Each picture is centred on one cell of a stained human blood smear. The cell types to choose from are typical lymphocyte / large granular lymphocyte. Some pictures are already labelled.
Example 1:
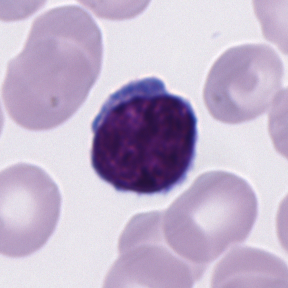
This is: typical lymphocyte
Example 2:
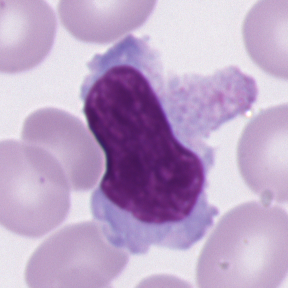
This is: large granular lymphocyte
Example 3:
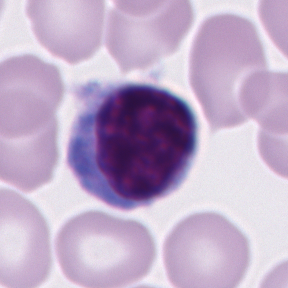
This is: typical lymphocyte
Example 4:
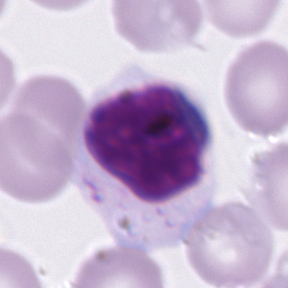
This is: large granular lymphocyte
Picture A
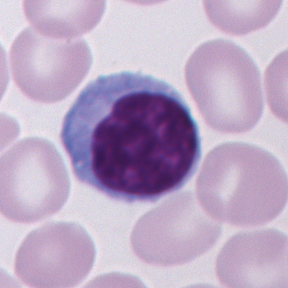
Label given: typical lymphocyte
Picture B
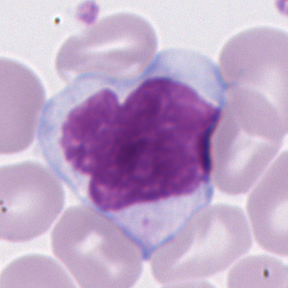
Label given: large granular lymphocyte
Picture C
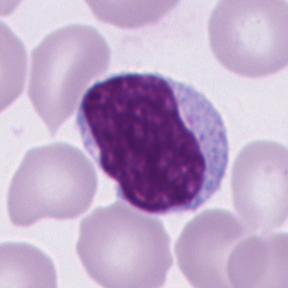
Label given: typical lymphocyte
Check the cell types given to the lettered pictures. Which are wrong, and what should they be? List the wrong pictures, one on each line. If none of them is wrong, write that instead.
All labels are correct.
